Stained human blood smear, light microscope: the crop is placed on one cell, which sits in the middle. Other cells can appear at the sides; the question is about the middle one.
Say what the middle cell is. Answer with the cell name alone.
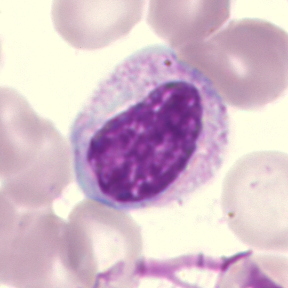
metamyelocyte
